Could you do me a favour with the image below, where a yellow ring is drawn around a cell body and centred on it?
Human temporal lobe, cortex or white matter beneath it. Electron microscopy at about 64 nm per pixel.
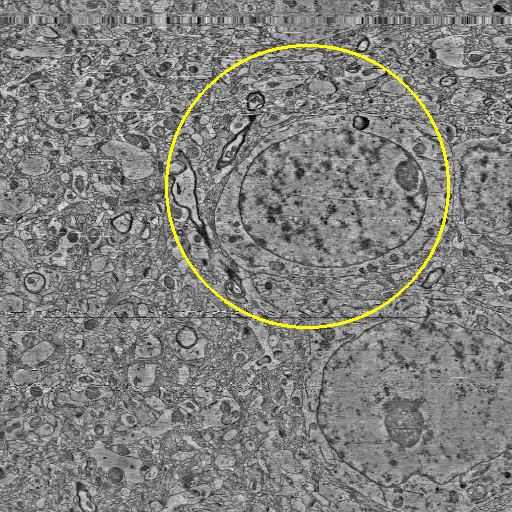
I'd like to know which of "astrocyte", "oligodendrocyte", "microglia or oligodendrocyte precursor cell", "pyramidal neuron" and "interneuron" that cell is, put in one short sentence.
The cell at the ring's centre is a pyramidal neuron.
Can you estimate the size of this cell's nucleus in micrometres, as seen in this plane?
In this plane, the nucleus is roughly 12 by 9 micrometres.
